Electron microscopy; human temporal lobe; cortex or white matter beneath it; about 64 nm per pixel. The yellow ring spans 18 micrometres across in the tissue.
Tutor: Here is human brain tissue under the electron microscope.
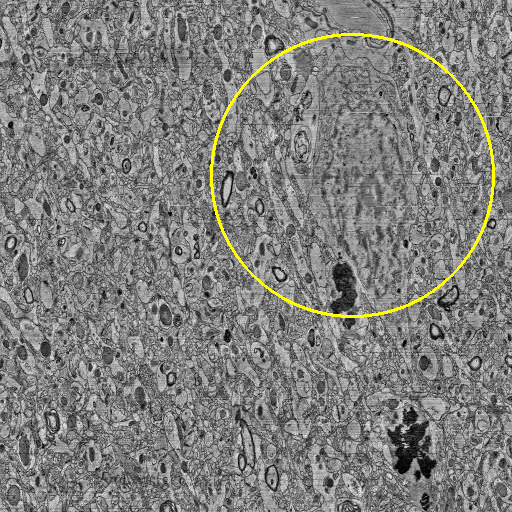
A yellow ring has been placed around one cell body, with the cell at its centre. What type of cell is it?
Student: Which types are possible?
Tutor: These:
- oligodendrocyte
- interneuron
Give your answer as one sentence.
What the ring picks out here is an interneuron.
